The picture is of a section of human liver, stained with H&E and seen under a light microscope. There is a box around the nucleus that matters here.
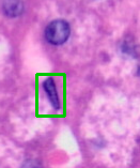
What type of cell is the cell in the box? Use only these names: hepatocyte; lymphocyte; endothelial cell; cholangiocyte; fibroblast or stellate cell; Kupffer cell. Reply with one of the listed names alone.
fibroblast or stellate cell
